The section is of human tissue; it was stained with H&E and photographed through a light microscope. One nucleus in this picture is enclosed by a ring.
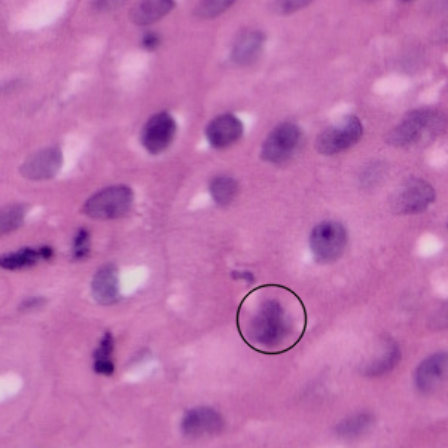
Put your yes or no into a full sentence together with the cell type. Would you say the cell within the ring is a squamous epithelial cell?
Yes, the cell within the ring is to be classified as a squamous epithelial cell.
